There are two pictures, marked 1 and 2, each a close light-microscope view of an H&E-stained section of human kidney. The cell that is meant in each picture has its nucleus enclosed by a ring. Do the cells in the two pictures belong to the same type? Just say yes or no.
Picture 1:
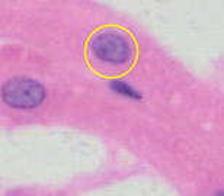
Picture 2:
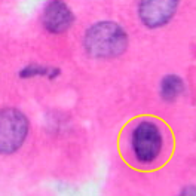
yes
